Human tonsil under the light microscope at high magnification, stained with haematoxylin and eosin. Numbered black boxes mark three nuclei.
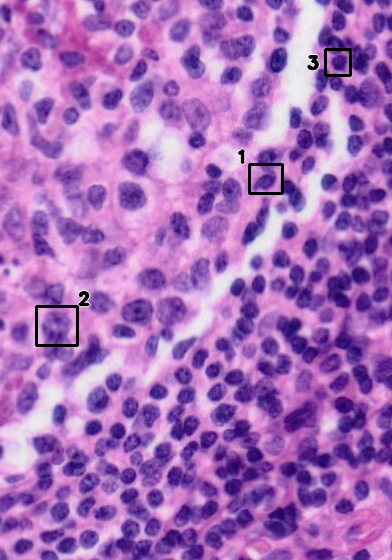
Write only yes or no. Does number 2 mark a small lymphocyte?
no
